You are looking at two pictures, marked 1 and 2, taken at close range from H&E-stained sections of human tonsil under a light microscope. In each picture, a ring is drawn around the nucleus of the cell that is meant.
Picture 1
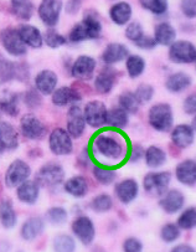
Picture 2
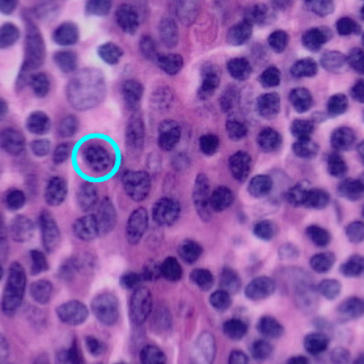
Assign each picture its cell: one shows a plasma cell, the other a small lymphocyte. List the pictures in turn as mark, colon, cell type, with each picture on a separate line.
1: small lymphocyte
2: plasma cell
